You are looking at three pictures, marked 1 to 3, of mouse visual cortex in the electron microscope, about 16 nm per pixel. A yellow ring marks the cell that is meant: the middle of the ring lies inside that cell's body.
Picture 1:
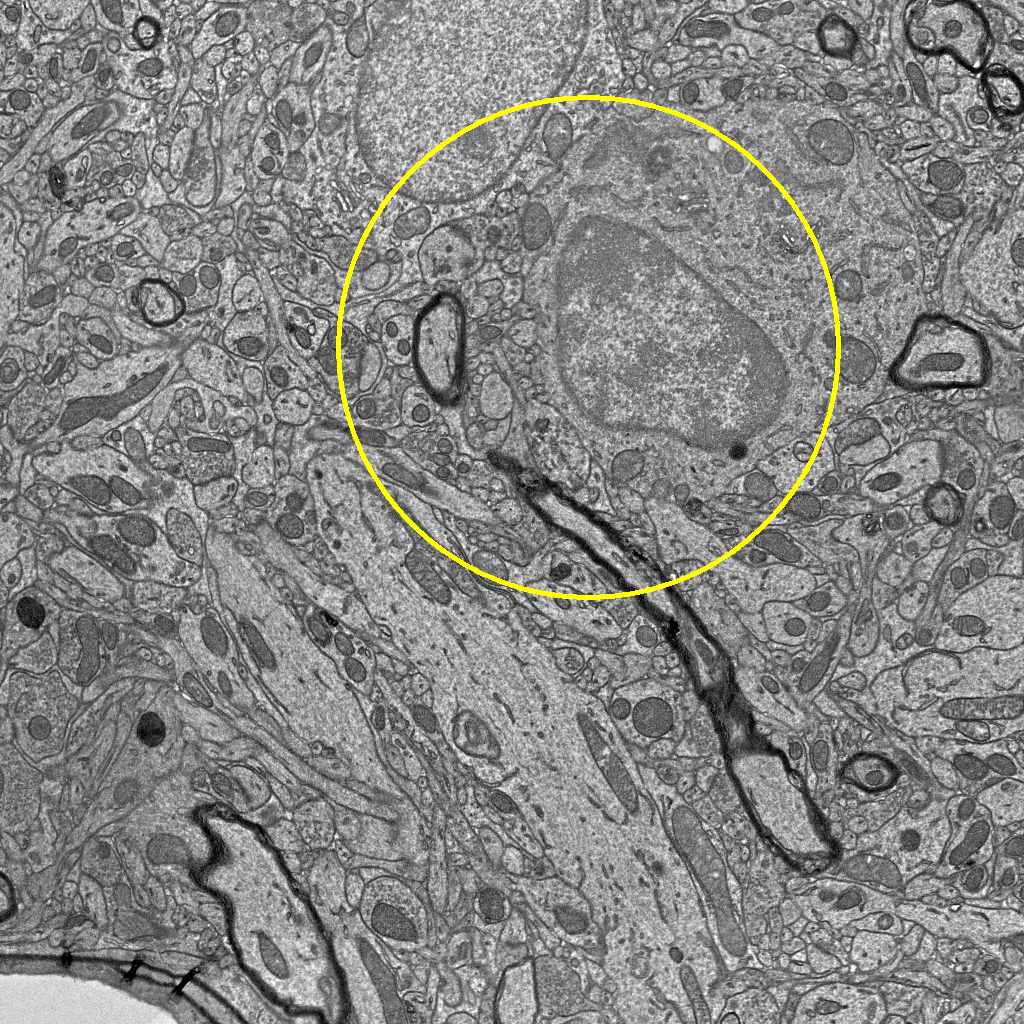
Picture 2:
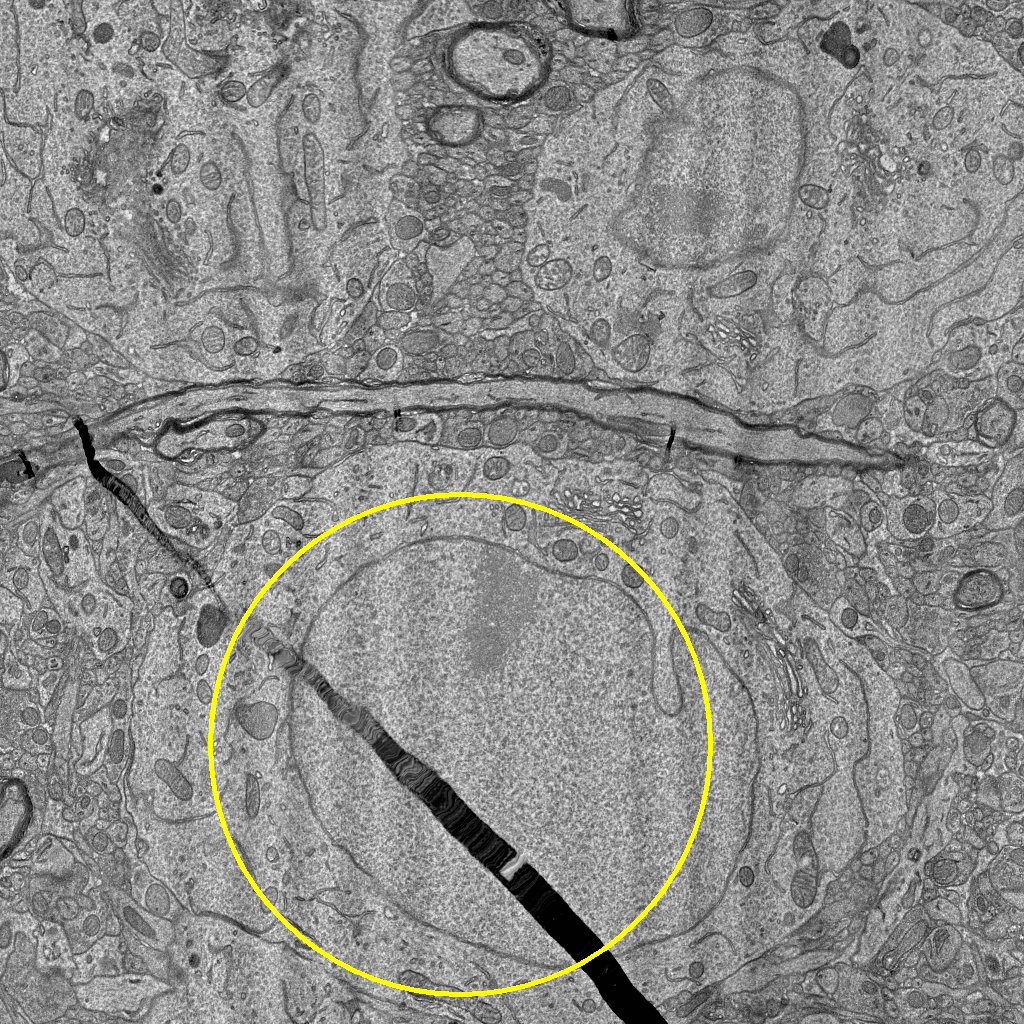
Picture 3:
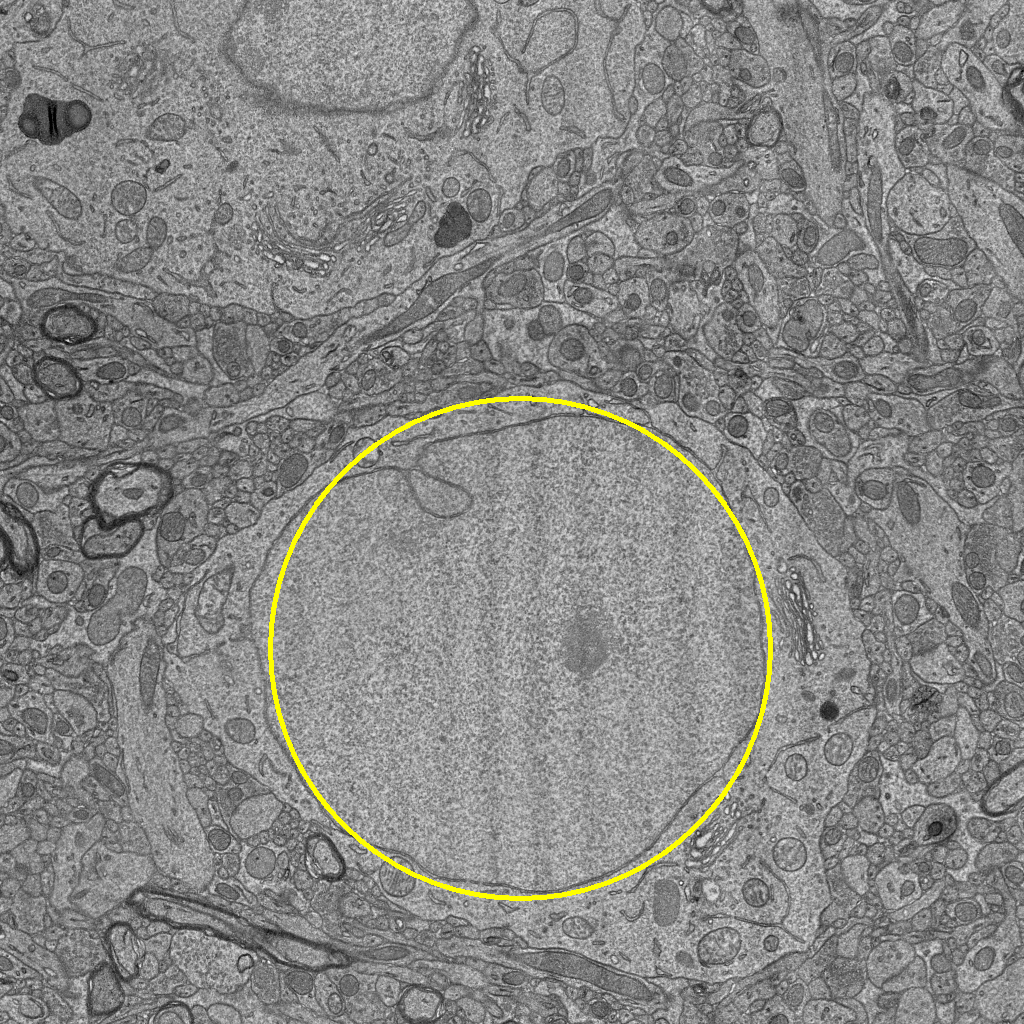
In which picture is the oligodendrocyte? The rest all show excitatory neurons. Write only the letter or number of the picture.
1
